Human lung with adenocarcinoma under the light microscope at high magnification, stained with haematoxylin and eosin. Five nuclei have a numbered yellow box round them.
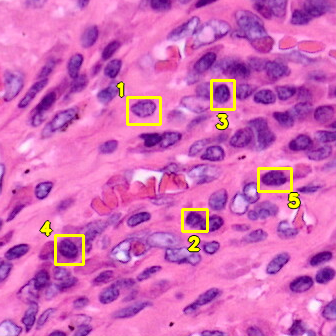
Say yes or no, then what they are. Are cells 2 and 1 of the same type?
No, cell 2 is a plasma cell and cell 1 is a mast cell.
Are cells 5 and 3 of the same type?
No, cell 5 is a plasma cell and cell 3 is a lymphocyte.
